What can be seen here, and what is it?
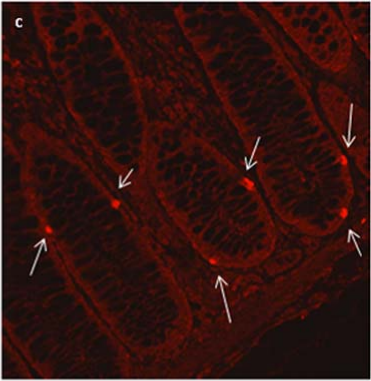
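This is colonic mucosa with long, straight tubular crypts cut lengthwise and lying parallel to one another, outlined in faint red. Each crypt is lined by a single layer of tall epithelial cells around a narrow lumen, and no villi are present. Scattered single cells within the epithelial lining of the crypts fluoresce strongly red and are marked by arrows, standing out against the dim surrounding epithelium.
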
